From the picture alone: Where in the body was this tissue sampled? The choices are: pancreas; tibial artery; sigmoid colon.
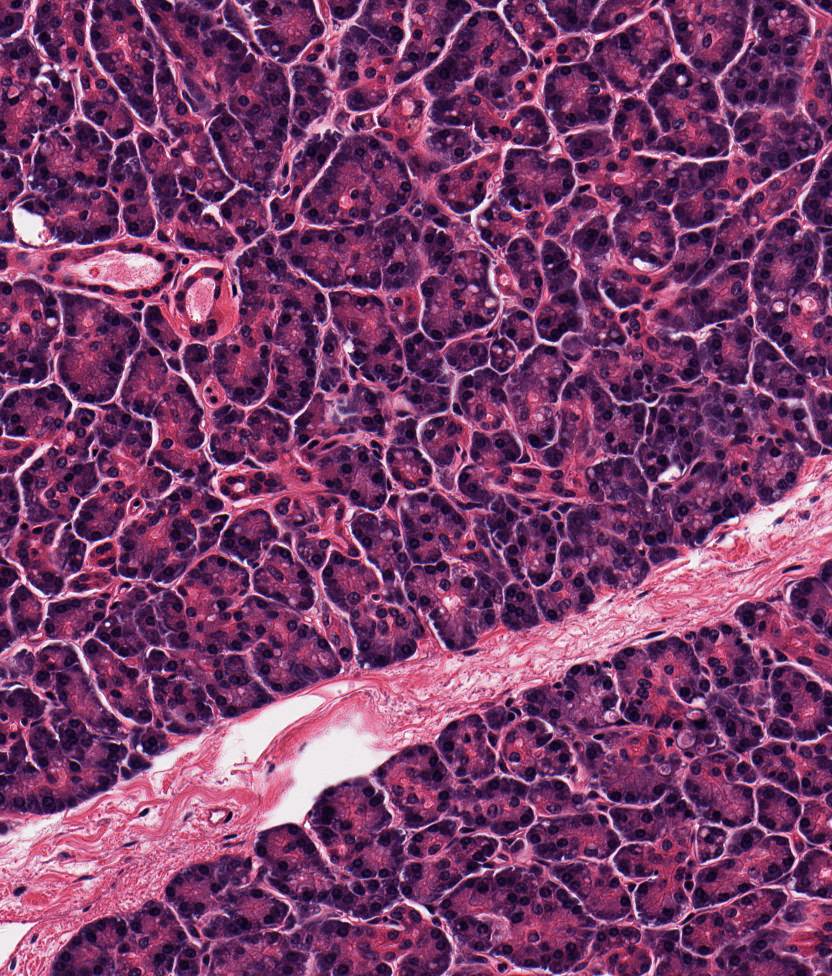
pancreas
